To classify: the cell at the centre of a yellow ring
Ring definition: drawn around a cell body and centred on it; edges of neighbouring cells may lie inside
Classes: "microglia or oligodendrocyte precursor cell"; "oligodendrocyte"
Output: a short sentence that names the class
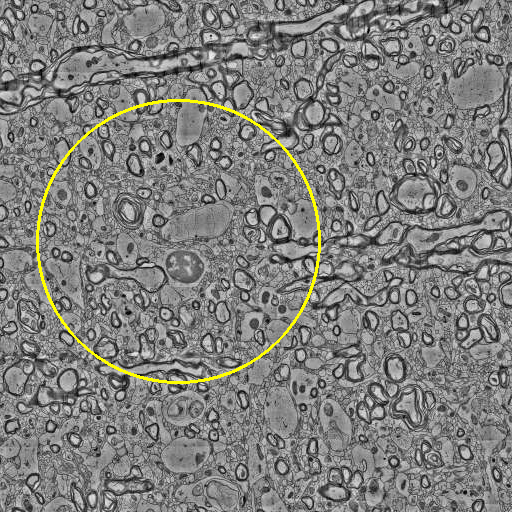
The ringed cell is a microglial cell or oligodendrocyte precursor cell.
